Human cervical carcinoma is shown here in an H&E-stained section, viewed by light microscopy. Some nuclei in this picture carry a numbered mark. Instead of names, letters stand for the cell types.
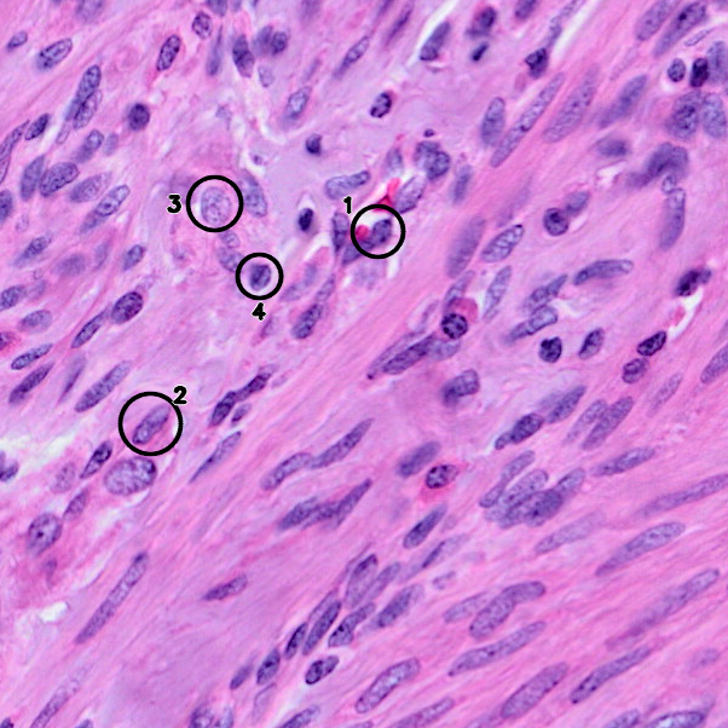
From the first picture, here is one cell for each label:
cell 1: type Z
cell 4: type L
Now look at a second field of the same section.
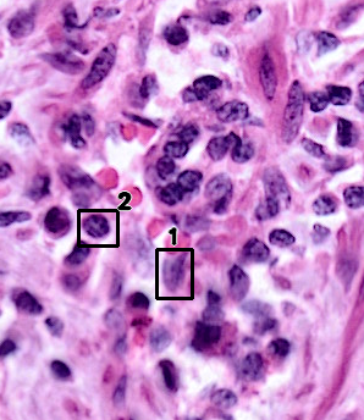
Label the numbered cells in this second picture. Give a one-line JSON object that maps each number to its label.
{"1": "type Z", "2": "type L"}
